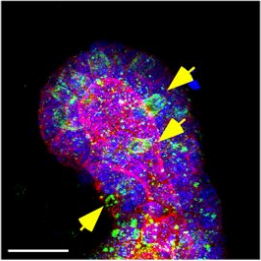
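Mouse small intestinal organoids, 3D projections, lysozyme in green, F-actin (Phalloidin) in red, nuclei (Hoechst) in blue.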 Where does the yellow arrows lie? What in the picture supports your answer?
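Away from the crypt base. The arrowed green cells are spread down the bud toward its neck, not only at its tip.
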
